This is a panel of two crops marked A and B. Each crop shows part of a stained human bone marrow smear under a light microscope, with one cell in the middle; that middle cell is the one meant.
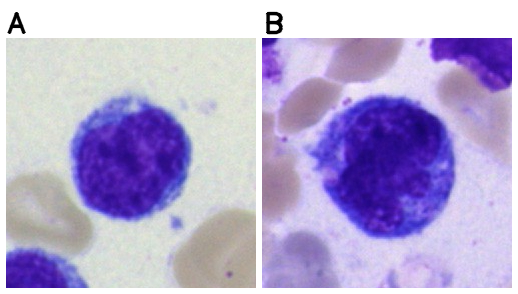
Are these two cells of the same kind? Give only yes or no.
no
